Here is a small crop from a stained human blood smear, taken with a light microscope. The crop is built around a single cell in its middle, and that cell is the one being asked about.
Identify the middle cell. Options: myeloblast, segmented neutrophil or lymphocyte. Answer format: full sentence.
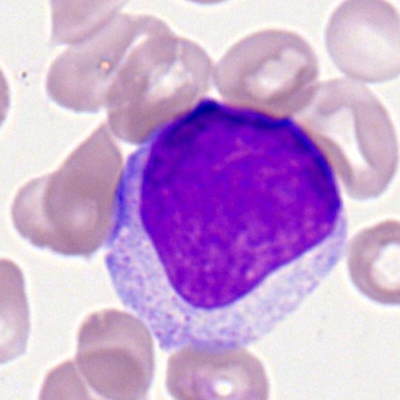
The cell marked by its central position in the crop is a myeloblast.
